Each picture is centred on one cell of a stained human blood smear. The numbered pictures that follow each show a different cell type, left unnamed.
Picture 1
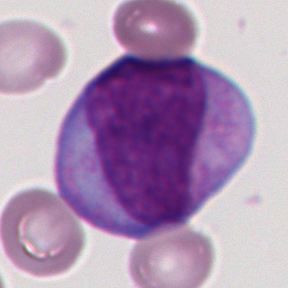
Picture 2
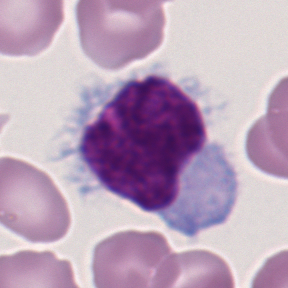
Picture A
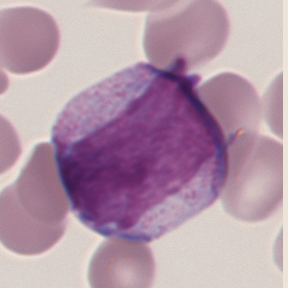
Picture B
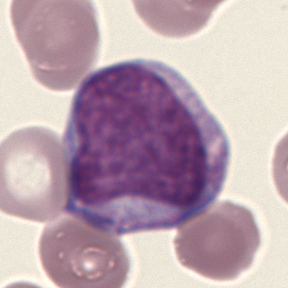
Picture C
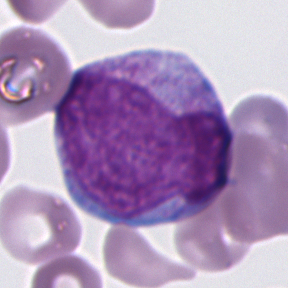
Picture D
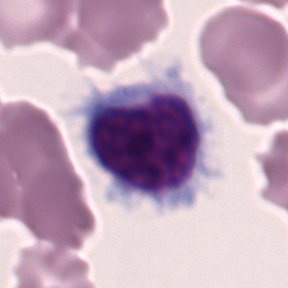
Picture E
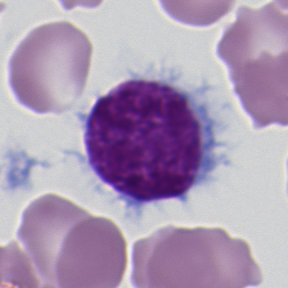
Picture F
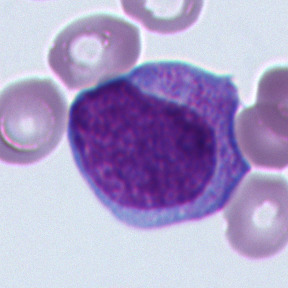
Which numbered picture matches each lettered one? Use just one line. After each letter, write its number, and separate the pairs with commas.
A 1, B 1, C 1, D 2, E 2, F 1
